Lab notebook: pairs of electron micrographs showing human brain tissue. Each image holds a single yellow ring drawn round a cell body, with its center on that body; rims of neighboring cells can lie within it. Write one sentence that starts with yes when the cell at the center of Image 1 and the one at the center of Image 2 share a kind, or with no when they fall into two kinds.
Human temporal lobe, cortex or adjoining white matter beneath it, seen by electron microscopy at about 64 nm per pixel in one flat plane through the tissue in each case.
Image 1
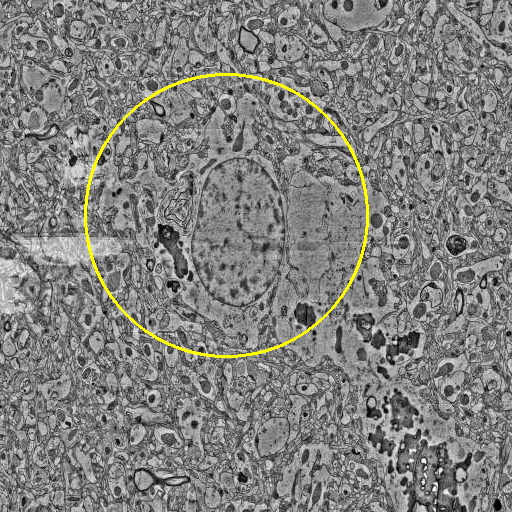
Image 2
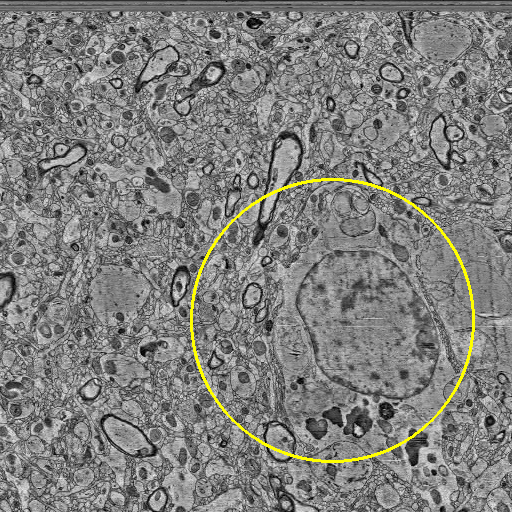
Yes, the centered cell in Image 1 and the centered cell in Image 2 are of one kind.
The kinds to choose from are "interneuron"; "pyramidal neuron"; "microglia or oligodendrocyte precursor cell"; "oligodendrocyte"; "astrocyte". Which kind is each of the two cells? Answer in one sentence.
The cell at the ring centre is an astrocyte in both pictures.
